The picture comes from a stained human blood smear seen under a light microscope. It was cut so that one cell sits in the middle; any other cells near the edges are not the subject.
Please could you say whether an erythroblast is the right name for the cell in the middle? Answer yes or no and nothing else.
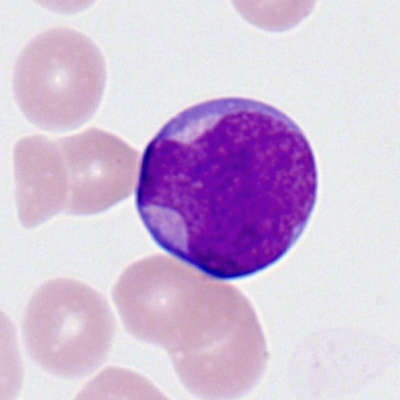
no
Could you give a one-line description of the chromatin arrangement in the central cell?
The chromatin remains finely textured, with no coarse clumps to speak of.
